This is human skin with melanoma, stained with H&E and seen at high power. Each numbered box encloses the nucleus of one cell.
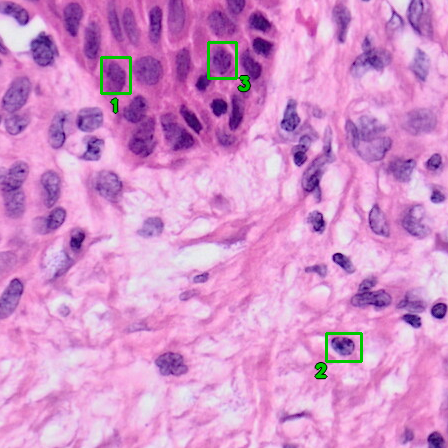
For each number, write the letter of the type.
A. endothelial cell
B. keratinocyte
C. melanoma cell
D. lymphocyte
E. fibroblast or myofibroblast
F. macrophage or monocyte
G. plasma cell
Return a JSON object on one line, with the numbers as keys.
{"1": "B", "2": "D", "3": "B"}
